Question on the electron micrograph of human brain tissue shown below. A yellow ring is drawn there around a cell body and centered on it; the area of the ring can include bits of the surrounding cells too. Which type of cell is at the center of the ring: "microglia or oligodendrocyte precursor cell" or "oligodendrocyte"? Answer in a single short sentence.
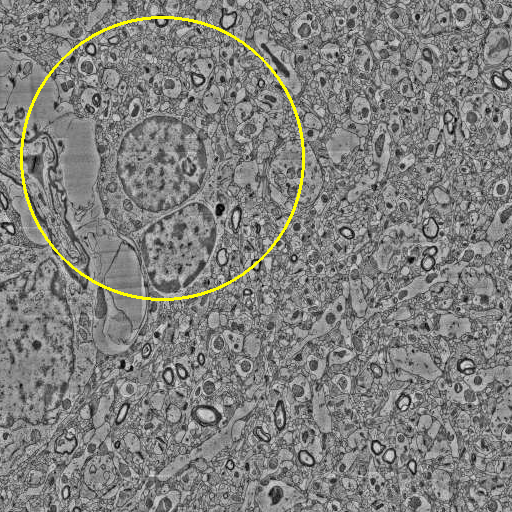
The ring is centered on an oligodendrocyte.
